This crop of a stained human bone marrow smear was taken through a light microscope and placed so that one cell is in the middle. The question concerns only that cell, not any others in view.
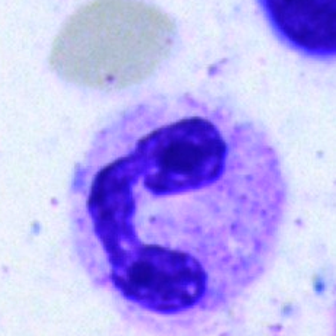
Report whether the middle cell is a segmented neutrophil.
yes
